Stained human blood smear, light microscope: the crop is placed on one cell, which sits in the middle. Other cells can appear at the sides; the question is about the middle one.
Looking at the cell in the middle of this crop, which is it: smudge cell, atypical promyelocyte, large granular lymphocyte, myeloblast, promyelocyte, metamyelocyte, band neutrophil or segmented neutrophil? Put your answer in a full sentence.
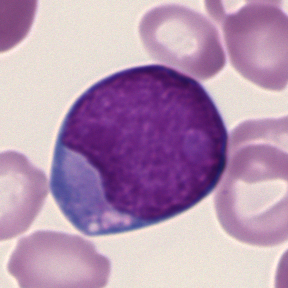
Looking at the middle of the crop, the cell there is a myeloblast.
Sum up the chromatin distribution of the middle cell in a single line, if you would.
Chromatin texture is fine, and coarse clumps are absent.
